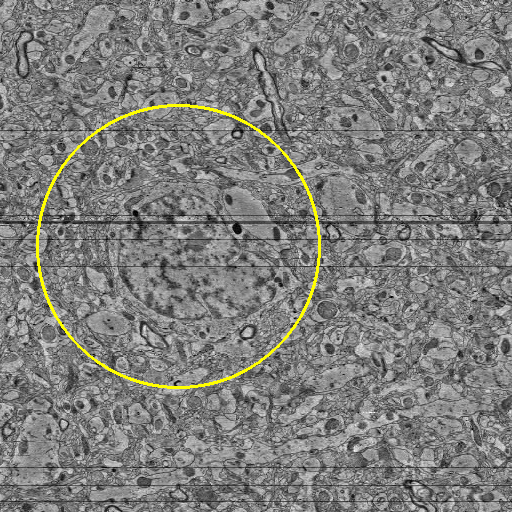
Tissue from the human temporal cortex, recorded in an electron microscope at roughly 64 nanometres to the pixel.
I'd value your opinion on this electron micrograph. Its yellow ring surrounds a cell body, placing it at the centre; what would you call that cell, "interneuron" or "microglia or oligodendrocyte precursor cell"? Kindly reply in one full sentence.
It is an interneuron that sits centred within the yellow ring in this micrograph.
